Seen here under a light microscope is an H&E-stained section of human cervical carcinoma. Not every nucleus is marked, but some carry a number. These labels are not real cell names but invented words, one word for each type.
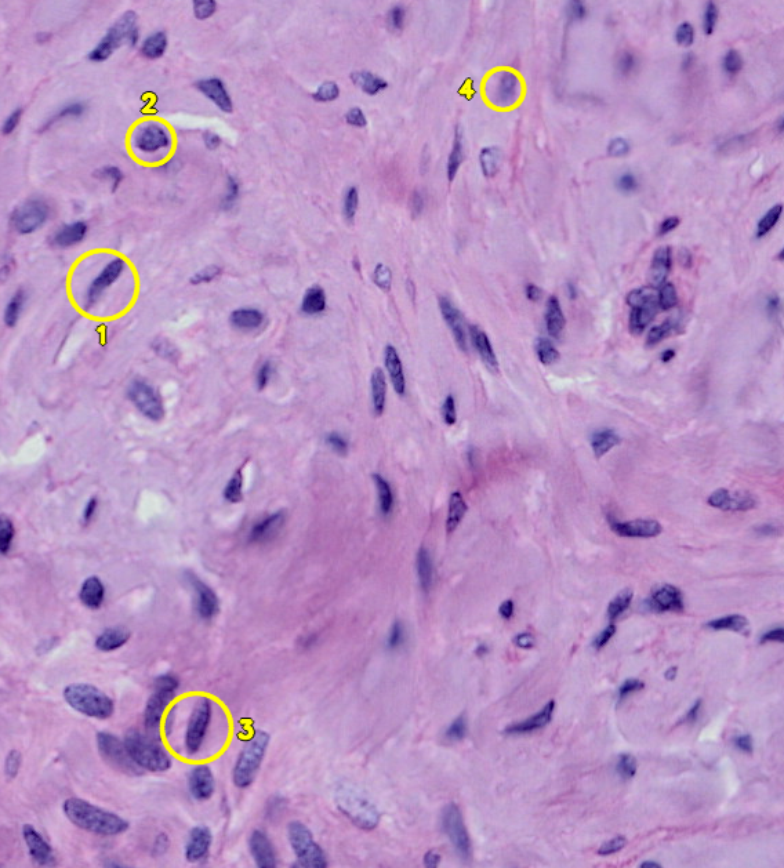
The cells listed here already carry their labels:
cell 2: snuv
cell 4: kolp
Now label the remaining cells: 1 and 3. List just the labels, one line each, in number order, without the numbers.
snuv
snuv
